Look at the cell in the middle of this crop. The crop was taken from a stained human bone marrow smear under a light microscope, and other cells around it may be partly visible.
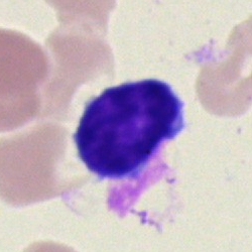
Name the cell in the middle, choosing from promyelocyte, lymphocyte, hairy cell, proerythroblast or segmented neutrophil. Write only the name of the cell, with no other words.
lymphocyte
